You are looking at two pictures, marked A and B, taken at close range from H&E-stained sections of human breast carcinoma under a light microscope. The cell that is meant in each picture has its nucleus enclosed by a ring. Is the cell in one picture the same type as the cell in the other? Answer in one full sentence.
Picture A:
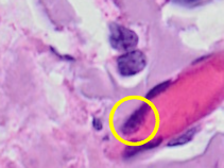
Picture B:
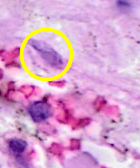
No; the cell in picture A is an endothelial cell, while the one in picture B is a fibroblast.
